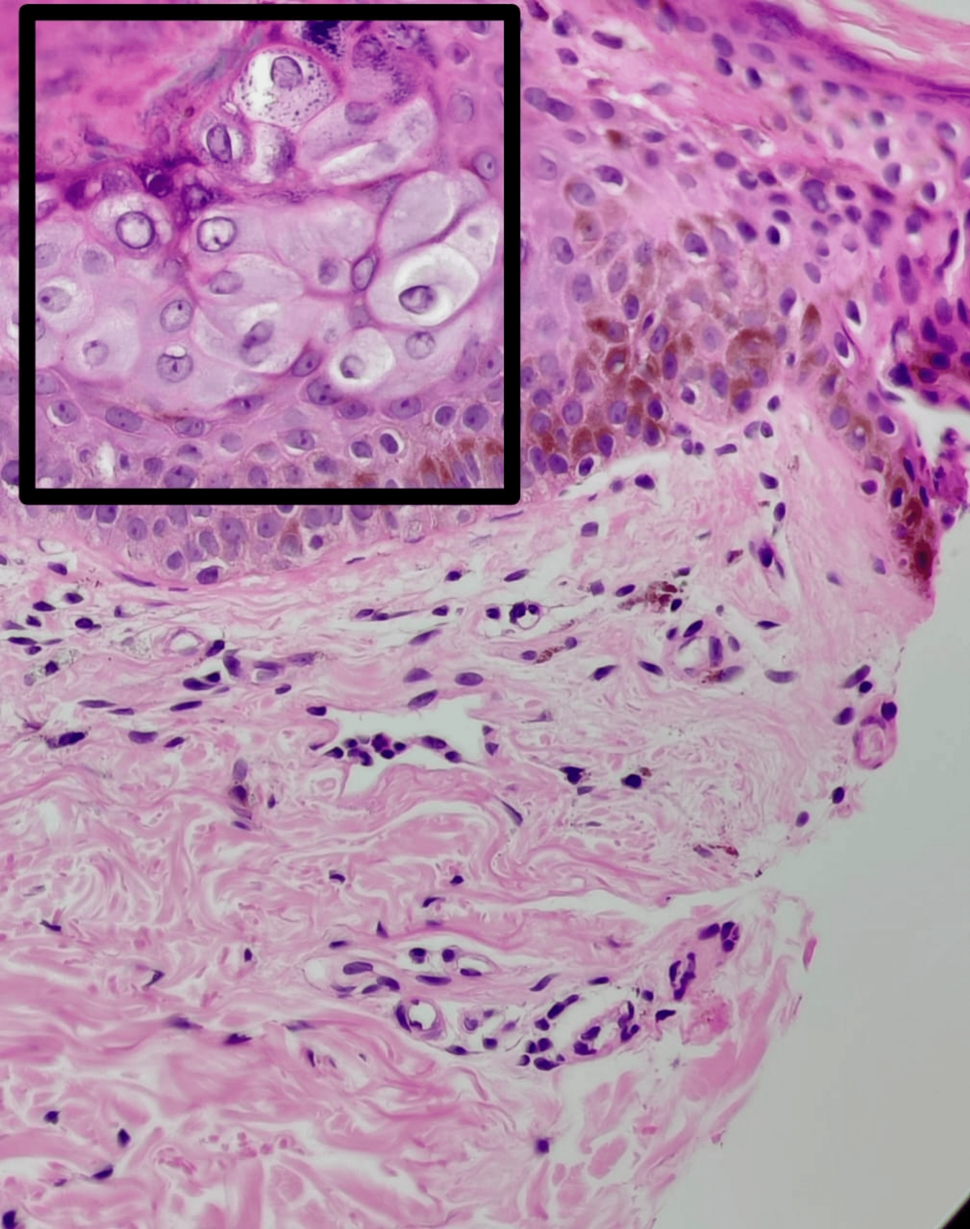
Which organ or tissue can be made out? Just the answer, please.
Epidermis.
